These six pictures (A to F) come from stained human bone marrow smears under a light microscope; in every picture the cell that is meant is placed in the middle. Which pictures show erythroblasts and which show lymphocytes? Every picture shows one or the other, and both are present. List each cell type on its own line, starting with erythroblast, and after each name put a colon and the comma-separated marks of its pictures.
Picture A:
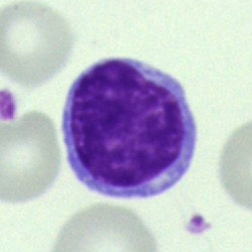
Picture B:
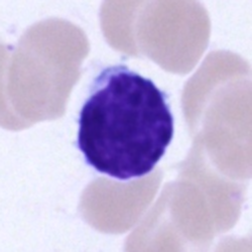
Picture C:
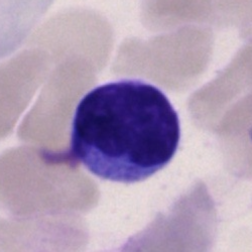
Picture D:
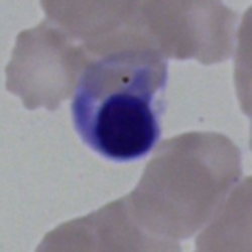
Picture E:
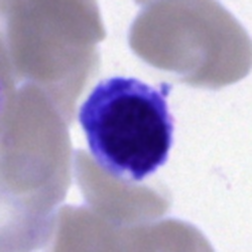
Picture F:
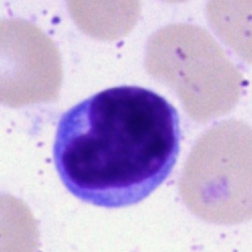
erythroblast: D, E
lymphocyte: A, B, C, F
